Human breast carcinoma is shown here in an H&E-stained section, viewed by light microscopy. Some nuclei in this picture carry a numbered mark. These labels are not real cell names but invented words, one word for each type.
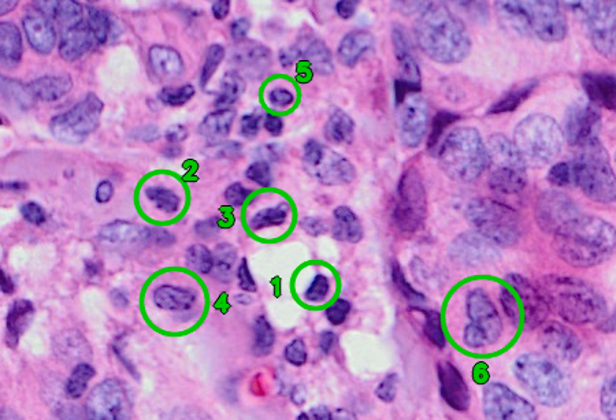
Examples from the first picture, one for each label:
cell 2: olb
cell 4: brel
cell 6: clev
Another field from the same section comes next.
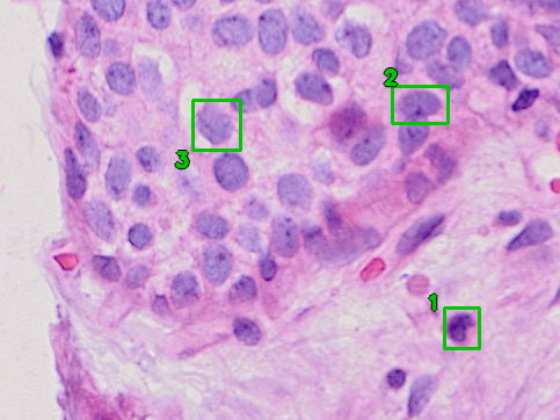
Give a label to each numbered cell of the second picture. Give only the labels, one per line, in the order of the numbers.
brel
clev
clev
